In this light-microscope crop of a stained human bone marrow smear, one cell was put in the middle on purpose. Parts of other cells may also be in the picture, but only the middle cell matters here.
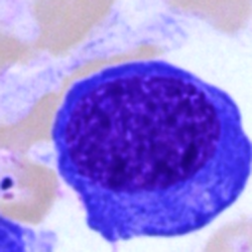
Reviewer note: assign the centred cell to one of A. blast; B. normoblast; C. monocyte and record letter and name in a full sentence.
Seen at the centre of the crop is a normoblast, so option B is correct.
